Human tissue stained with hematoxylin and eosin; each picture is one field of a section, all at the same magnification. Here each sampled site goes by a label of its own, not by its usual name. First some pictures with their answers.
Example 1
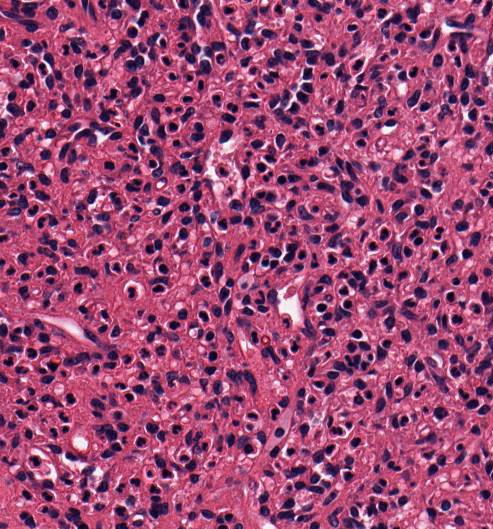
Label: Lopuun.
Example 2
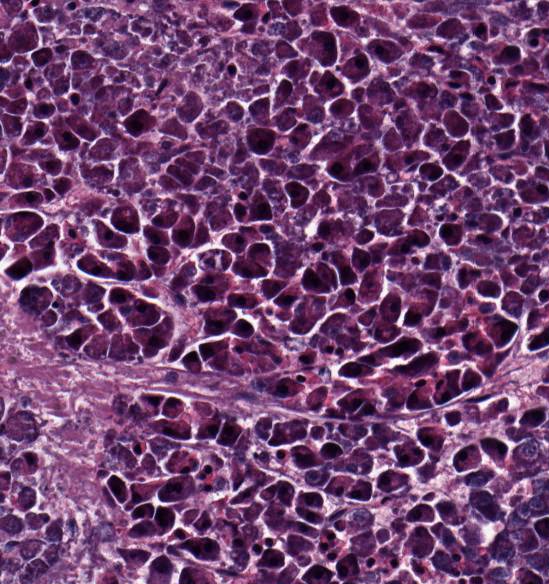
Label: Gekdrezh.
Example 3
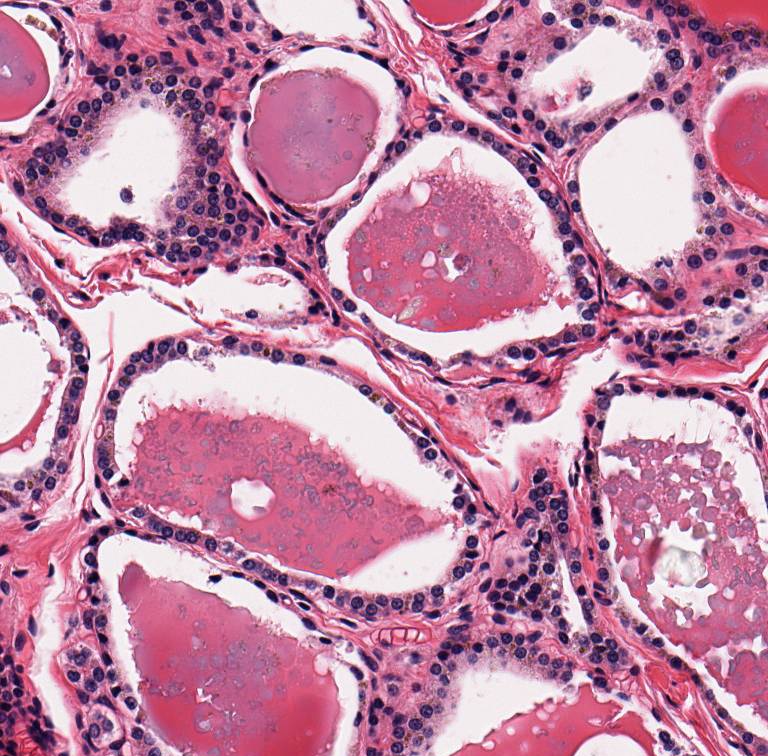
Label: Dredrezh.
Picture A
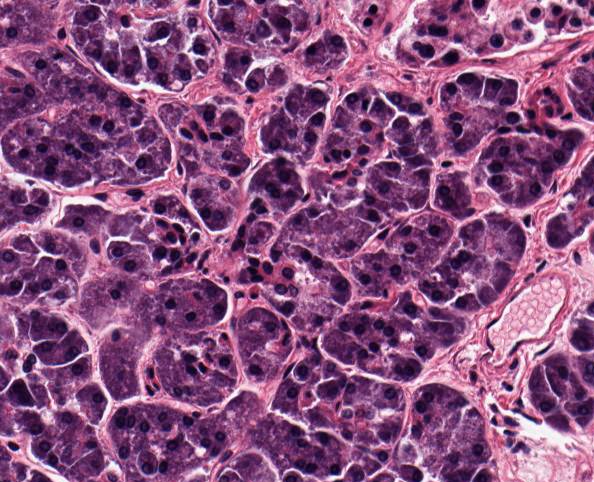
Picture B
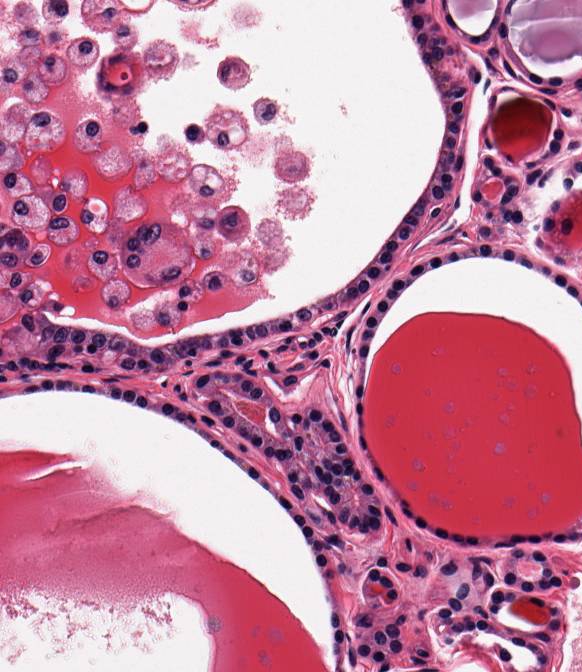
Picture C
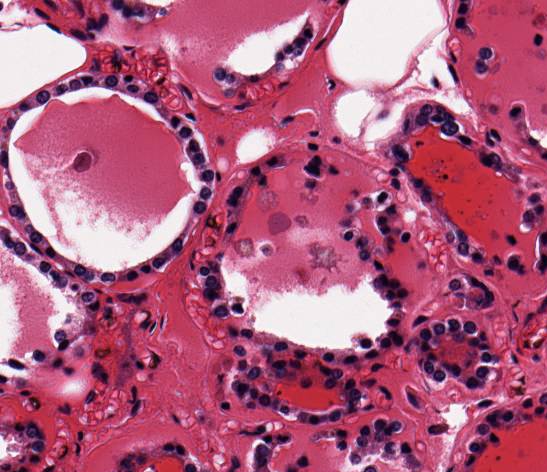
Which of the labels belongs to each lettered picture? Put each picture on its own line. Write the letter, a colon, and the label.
A: Gekdrezh.
B: Dredrezh.
C: Dredrezh.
